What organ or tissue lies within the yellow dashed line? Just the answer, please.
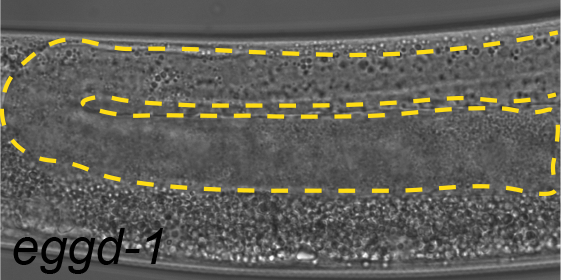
Gonad.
